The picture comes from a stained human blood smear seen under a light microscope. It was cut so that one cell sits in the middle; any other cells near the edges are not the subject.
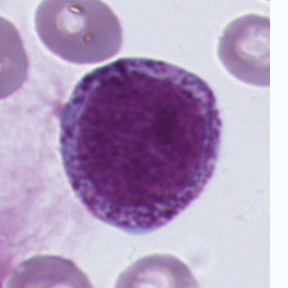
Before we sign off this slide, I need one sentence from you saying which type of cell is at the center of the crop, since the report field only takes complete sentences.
The cell in the middle of the field of view is a promyelocyte.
